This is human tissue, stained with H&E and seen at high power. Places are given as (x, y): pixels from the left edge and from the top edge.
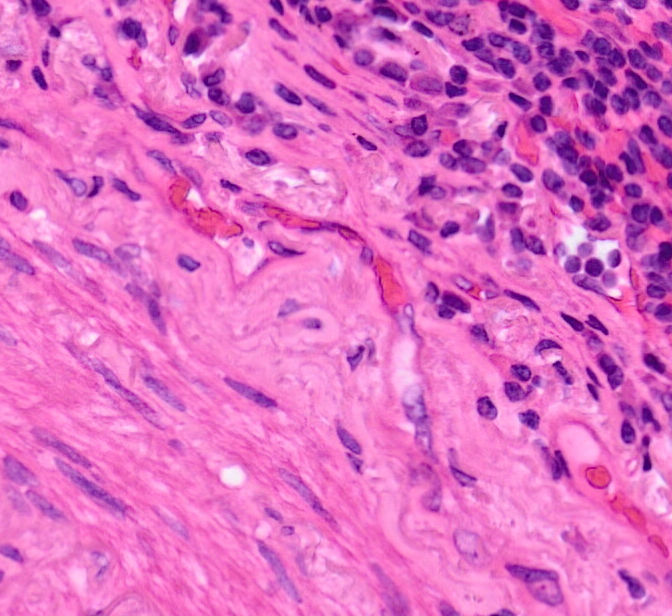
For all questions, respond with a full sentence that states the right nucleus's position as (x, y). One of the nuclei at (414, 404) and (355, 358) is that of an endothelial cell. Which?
The cell to which the nucleus at (414, 404) belongs is an endothelial cell.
